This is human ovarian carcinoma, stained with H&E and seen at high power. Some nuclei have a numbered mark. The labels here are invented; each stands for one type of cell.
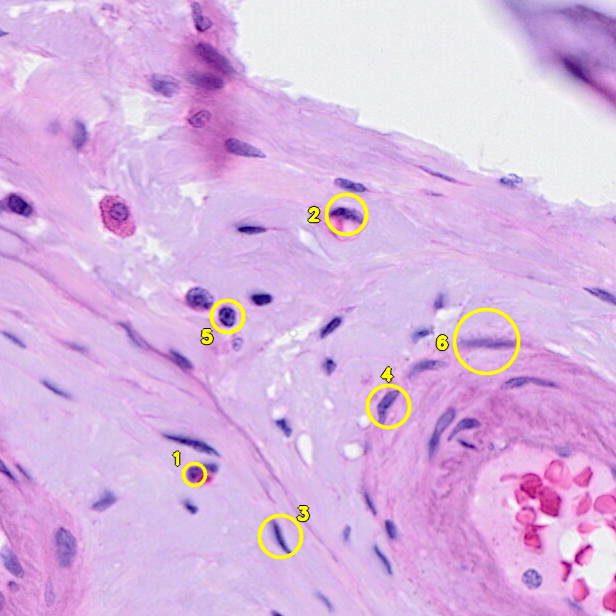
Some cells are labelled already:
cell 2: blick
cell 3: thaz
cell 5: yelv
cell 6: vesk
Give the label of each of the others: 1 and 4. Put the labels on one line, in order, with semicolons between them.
blick; vesk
